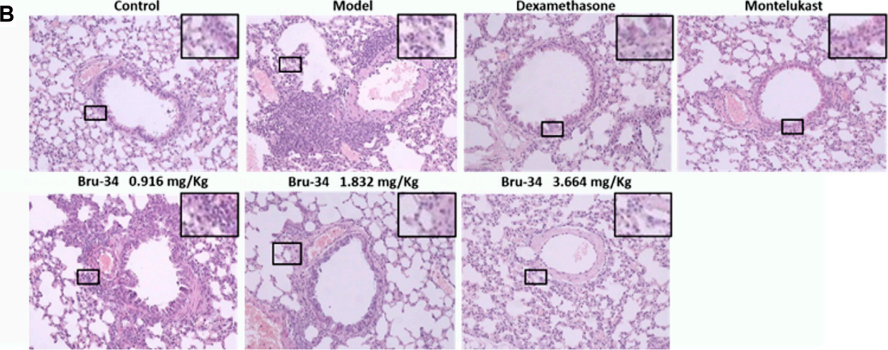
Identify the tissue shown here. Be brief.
Lung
